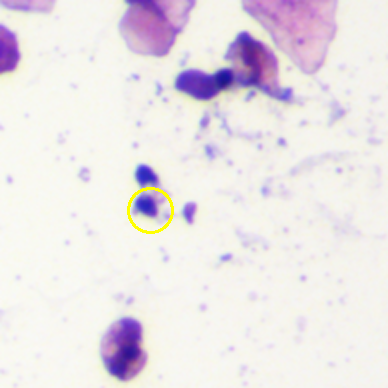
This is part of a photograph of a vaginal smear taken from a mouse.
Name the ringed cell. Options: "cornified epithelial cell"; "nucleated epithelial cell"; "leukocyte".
leukocyte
